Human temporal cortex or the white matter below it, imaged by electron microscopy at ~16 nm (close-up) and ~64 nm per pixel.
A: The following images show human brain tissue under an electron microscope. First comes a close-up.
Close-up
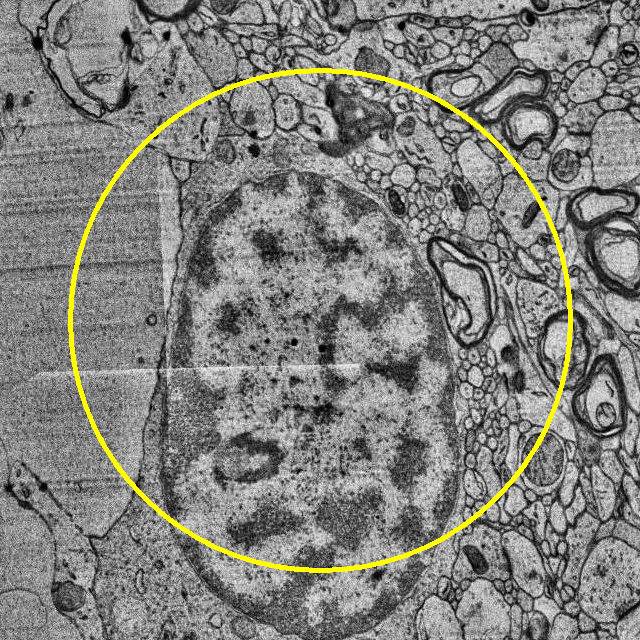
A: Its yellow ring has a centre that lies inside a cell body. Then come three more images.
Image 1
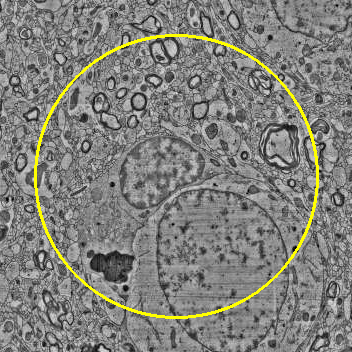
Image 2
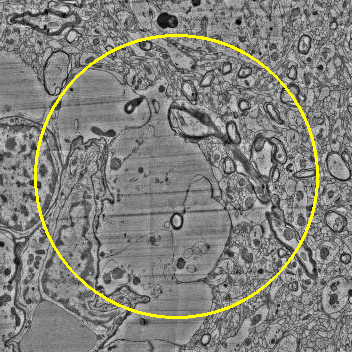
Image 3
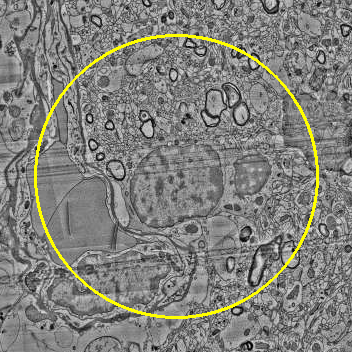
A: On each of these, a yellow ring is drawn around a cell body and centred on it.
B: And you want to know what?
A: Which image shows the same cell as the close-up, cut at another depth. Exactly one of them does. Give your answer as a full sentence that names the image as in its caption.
The close-up singles out the cell ringed in Image 2.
